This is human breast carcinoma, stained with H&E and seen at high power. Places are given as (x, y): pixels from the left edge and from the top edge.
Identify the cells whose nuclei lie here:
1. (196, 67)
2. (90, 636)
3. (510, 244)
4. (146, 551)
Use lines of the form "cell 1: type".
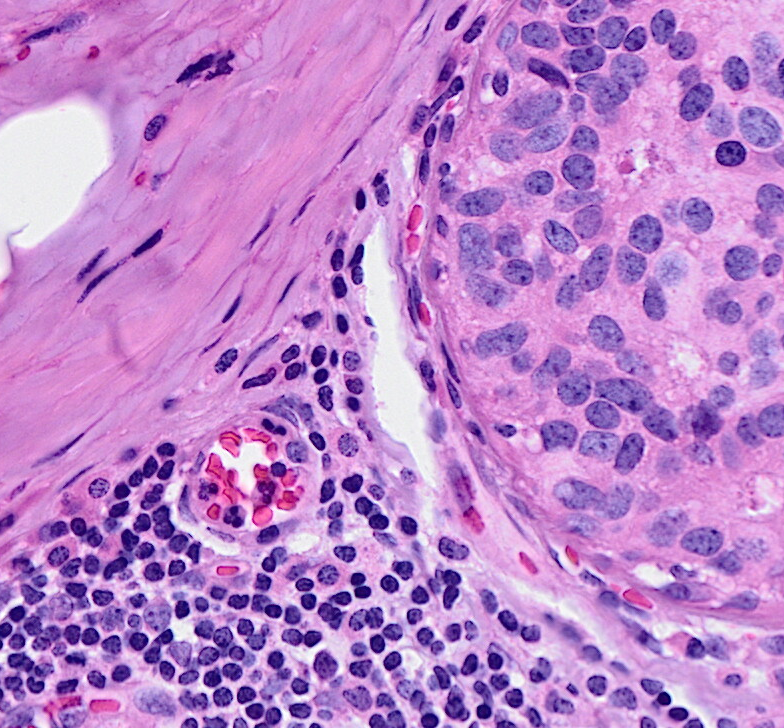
cell 1: fibroblast
cell 2: lymphocyte
cell 3: carcinoma cell
cell 4: lymphocyte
